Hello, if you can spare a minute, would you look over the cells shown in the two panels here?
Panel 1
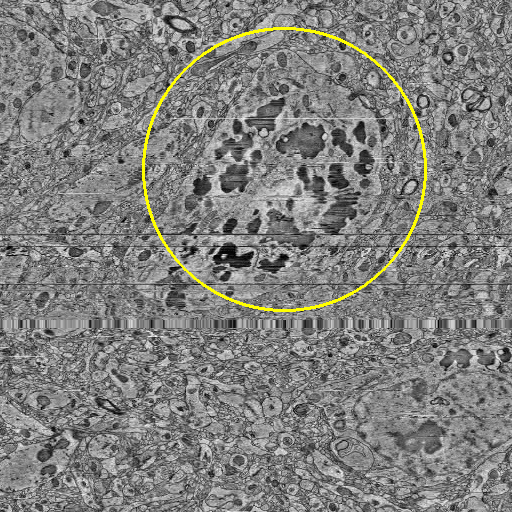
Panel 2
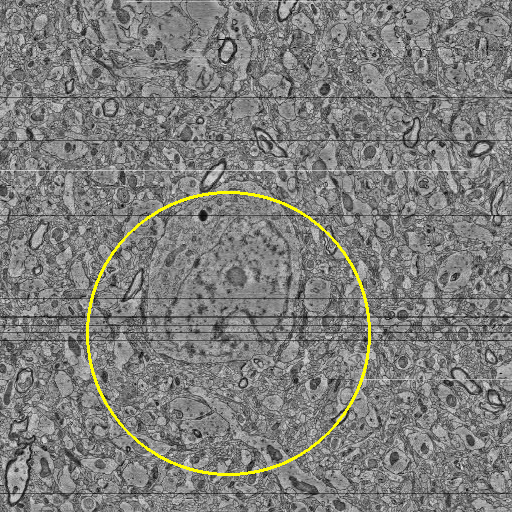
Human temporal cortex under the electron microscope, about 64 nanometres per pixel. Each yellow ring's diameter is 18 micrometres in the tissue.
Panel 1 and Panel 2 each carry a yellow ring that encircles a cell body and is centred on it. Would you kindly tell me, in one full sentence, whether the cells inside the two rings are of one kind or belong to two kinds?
The cells at the centres of the rings in Panel 1 and Panel 2 are of one kind.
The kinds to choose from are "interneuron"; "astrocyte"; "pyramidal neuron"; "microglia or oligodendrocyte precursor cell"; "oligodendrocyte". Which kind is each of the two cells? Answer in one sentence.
Each one of the two ringed cells is an interneuron.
